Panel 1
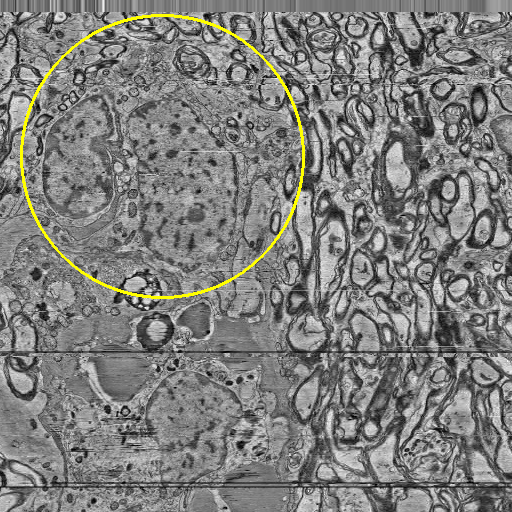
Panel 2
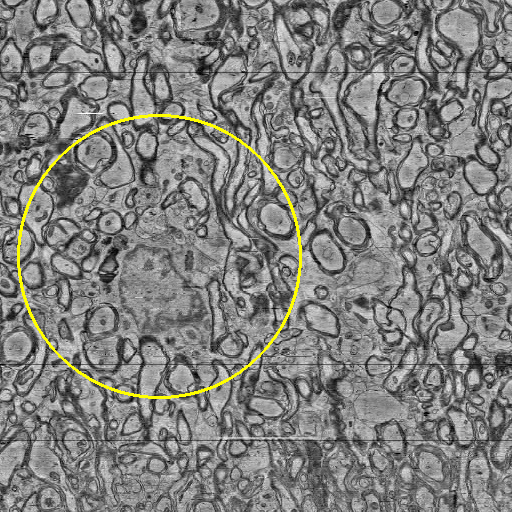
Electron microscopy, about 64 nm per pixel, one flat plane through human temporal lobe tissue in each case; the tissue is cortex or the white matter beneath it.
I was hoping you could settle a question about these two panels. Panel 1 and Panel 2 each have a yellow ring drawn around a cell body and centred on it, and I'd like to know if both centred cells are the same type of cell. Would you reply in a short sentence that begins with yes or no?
No, they are two types of cell.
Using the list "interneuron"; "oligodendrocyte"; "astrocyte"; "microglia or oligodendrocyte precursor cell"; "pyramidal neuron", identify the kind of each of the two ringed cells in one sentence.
The first is an astrocyte and the second is an oligodendrocyte.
